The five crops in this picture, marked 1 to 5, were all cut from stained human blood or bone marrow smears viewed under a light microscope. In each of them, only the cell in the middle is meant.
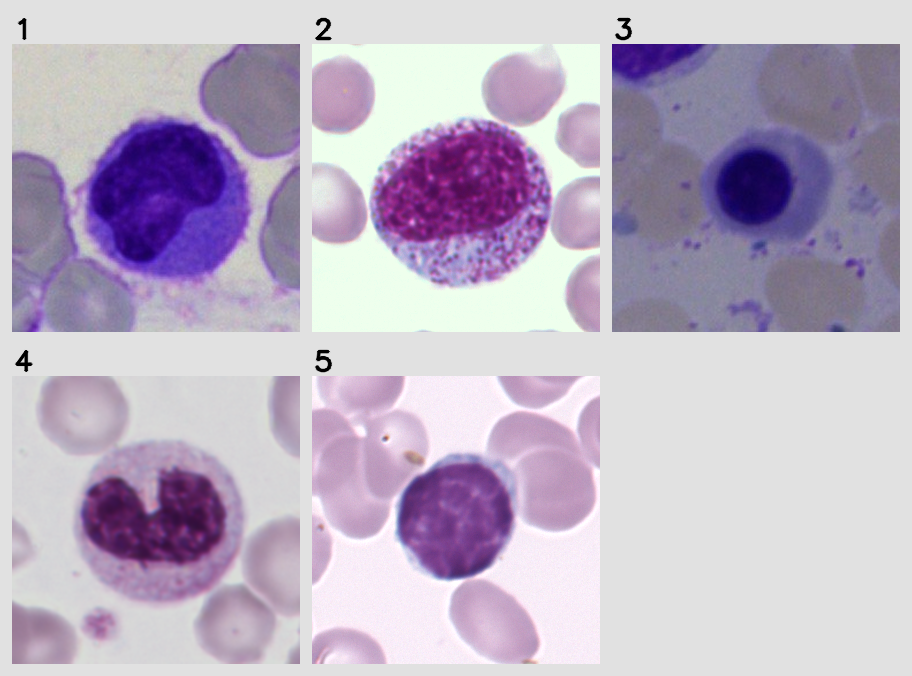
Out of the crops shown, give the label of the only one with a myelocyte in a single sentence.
Among the crops, only crop 2 contains a myelocyte.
